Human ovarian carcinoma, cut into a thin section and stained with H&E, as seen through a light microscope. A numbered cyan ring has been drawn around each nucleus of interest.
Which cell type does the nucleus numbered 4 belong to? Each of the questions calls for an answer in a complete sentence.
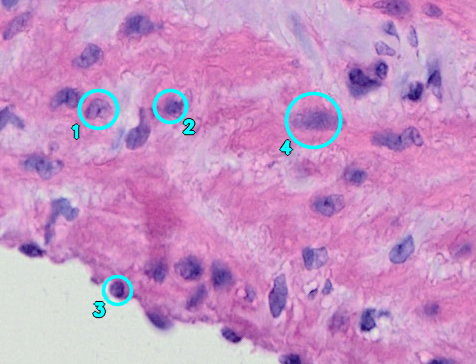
Nucleus 4 in this section belongs to a smooth muscle cell.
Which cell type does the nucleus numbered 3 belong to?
Cell number 3 in this section is an endothelial cell.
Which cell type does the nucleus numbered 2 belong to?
Cell 2, as marked in the section, is a smooth muscle cell.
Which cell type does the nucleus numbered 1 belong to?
The nucleus labelled 1 belongs to a smooth muscle cell.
